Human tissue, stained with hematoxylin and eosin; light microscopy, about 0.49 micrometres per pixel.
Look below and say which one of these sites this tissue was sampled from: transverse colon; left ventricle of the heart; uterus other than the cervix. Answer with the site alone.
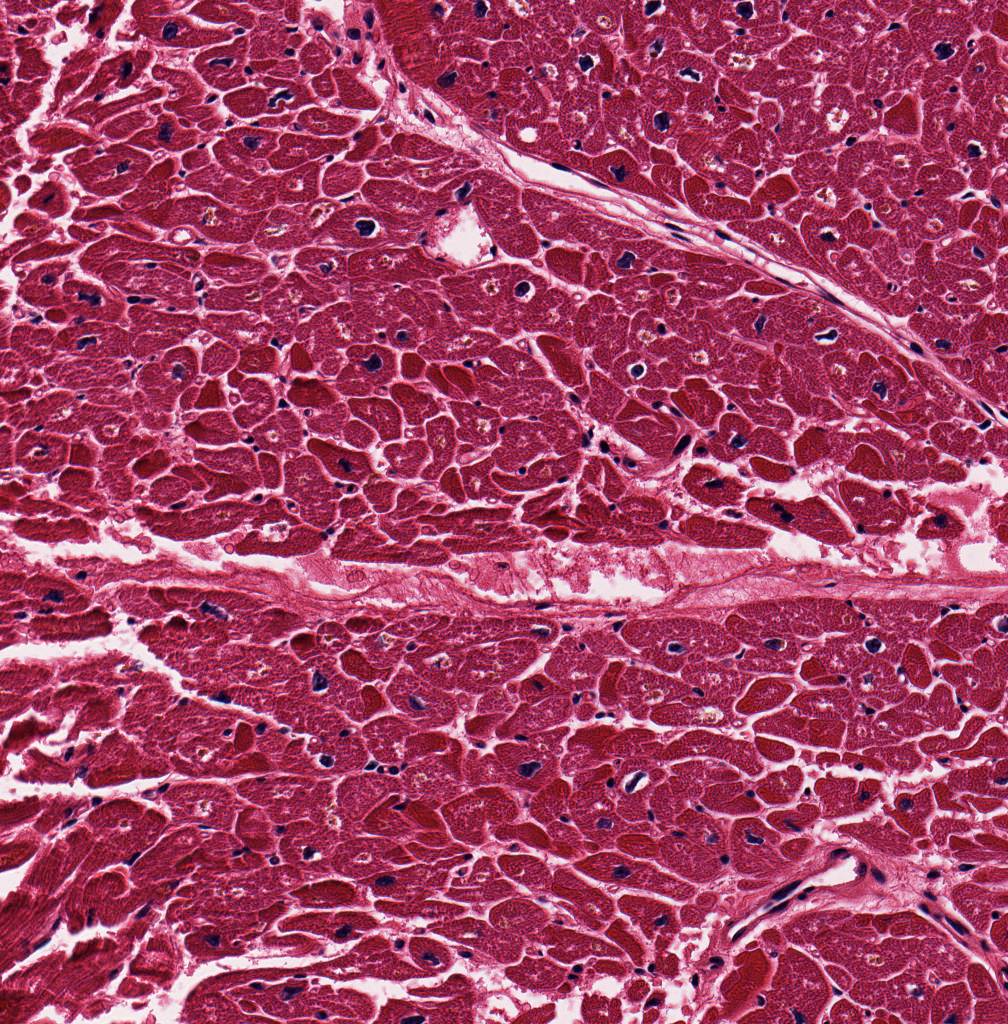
left ventricle of the heart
